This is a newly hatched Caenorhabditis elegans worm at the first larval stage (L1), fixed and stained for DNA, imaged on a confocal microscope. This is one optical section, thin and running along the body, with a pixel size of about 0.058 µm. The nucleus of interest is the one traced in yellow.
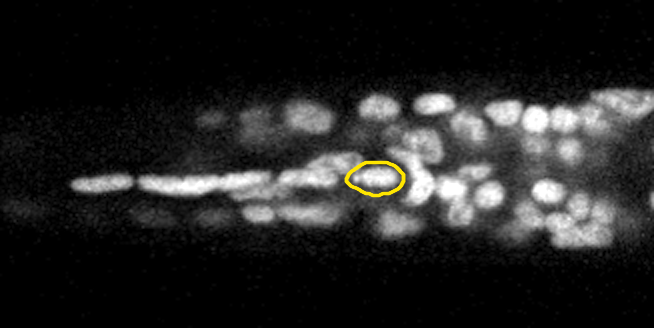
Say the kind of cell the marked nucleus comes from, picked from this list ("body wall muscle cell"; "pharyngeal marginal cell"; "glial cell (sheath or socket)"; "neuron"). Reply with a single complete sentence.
It belongs to a neuron.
